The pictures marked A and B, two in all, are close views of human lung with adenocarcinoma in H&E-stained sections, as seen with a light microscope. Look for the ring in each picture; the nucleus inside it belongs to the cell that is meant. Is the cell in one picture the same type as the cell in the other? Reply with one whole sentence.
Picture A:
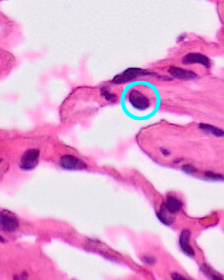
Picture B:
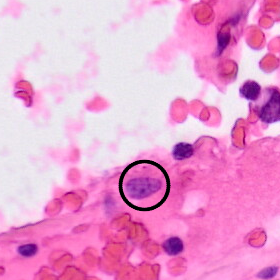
Yes, they are the same type: both are type I pneumocytes.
